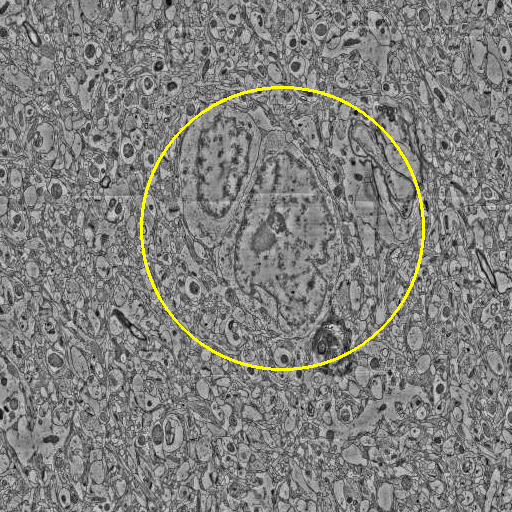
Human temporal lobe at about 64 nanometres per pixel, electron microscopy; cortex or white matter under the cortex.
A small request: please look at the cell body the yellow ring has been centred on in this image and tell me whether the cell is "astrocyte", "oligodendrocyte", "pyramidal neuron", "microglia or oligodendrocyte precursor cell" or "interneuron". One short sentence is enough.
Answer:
The cell marked by the ring is an interneuron.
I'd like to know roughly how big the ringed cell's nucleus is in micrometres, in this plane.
About 11 by 6 micrometers, in this plane.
